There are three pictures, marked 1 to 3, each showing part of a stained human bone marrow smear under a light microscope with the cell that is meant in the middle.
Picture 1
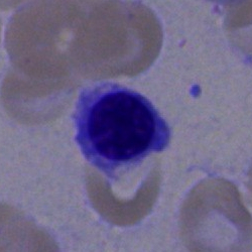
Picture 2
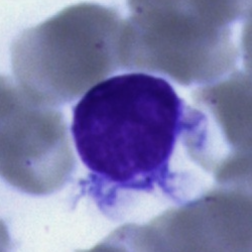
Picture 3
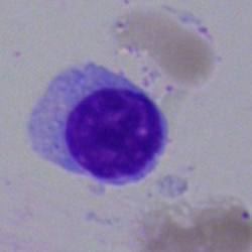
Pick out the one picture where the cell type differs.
2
